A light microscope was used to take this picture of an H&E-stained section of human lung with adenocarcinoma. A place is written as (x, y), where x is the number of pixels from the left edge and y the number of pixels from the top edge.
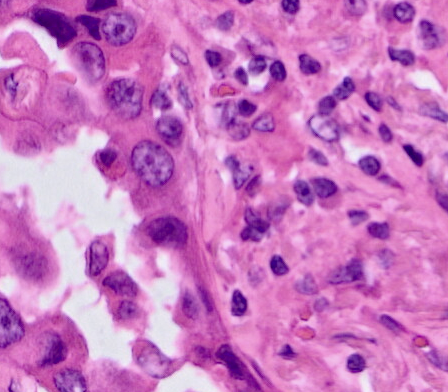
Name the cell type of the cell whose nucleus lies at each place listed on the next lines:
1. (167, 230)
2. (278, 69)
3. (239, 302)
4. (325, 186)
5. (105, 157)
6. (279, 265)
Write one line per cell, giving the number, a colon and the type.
1: carcinoma cell
2: lymphocyte
3: lymphocyte
4: plasma cell
5: carcinoma cell
6: lymphocyte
